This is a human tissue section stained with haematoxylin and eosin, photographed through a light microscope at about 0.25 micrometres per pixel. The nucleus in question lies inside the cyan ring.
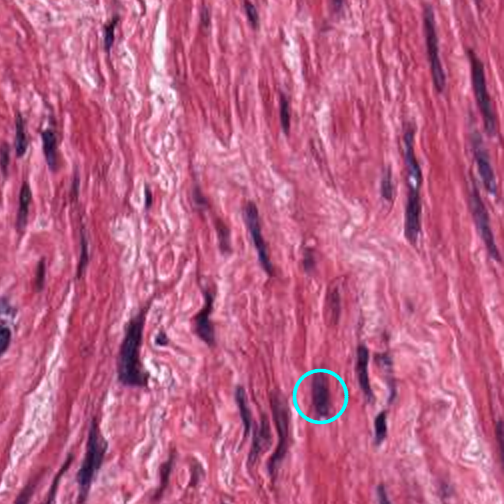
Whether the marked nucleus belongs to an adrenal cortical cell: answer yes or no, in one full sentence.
No, the marked nucleus is not enclosed by an adrenal cortical cell.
